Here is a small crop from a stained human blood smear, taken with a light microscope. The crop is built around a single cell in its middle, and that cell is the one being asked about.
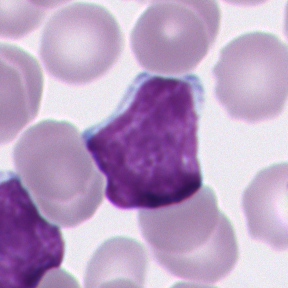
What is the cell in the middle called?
typical lymphocyte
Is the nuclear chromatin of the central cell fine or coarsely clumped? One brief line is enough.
Heads up, the chromatin is fine with no coarse clumps in it.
